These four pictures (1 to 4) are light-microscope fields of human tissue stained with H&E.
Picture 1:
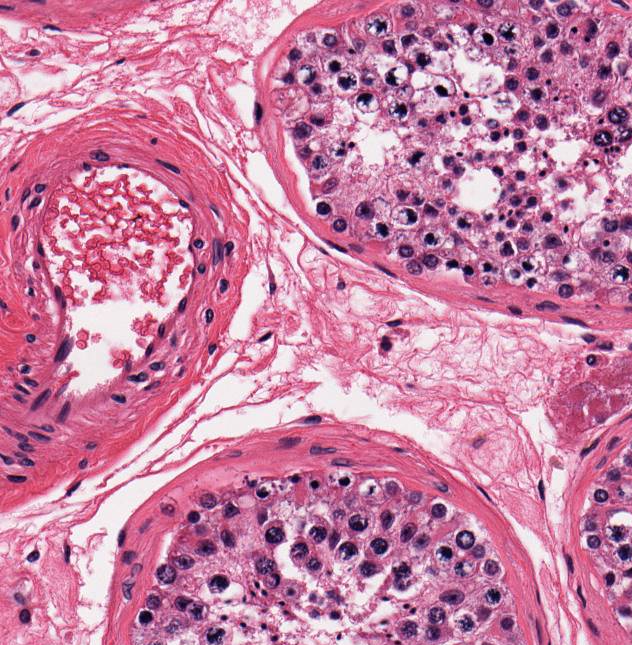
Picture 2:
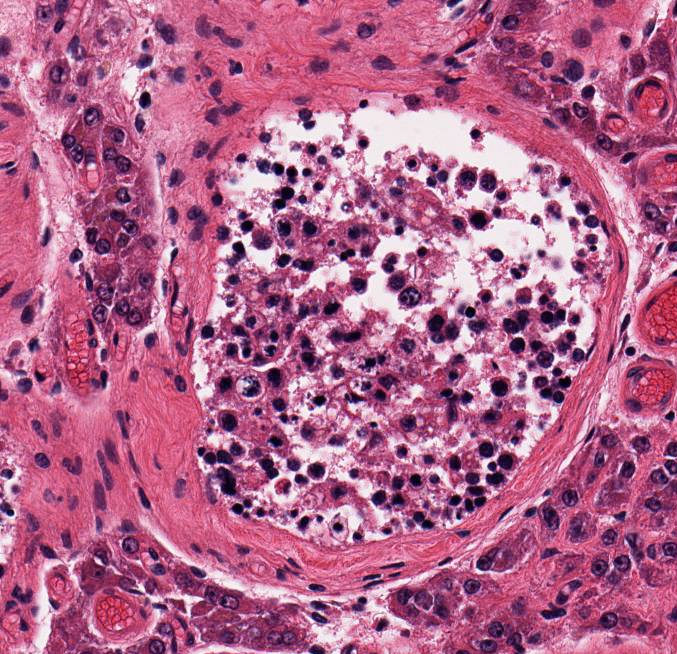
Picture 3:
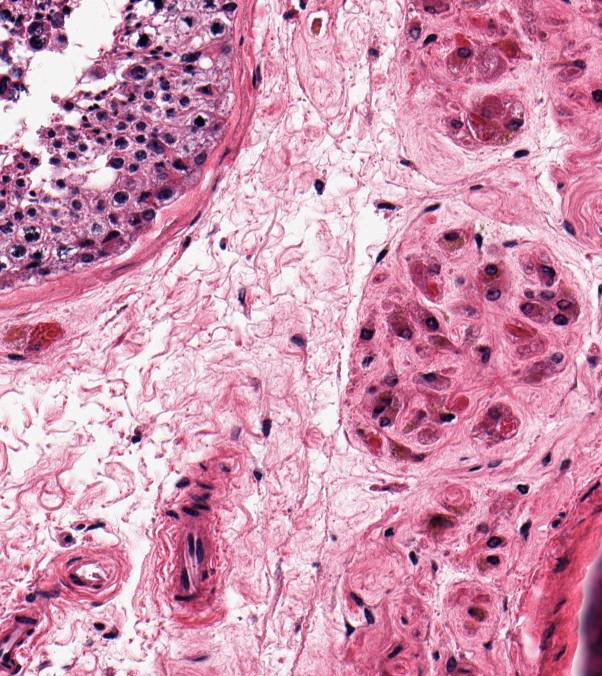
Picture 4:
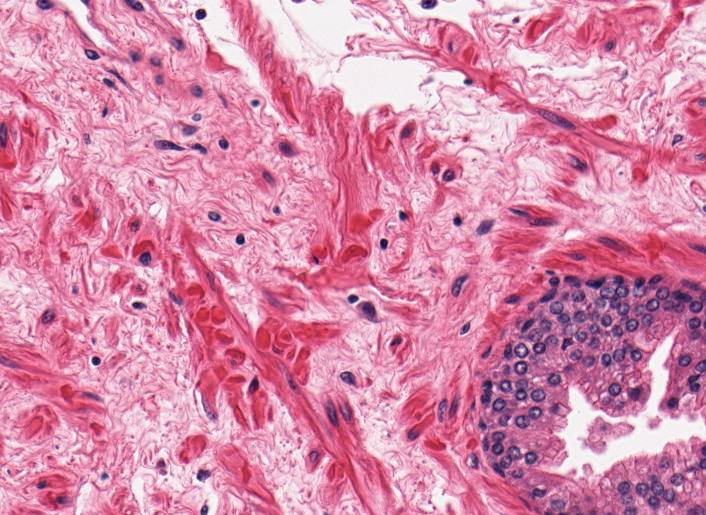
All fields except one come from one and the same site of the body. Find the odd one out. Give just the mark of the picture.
4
